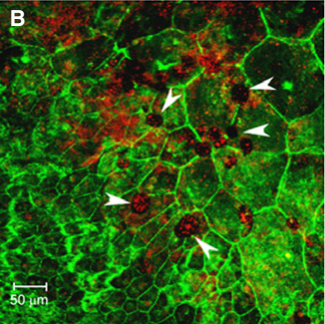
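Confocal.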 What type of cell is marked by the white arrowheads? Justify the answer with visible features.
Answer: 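Small dark round bodies lie over the cell sheet. The answer: pigmented cells.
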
